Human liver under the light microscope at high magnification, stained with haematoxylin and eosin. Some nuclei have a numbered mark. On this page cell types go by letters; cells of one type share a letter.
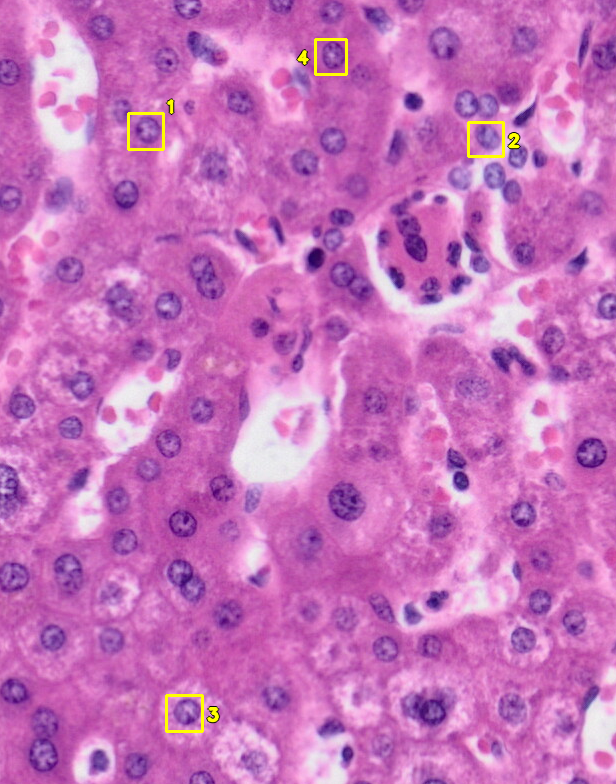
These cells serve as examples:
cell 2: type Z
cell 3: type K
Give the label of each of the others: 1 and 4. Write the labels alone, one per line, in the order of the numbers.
type K
type K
